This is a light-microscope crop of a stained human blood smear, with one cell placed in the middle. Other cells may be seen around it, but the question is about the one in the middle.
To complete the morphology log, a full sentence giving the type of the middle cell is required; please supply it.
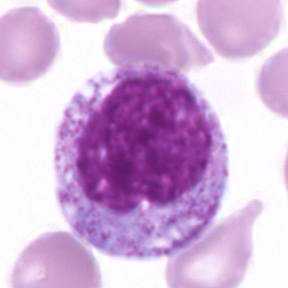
This crop's central cell is a myelocyte.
